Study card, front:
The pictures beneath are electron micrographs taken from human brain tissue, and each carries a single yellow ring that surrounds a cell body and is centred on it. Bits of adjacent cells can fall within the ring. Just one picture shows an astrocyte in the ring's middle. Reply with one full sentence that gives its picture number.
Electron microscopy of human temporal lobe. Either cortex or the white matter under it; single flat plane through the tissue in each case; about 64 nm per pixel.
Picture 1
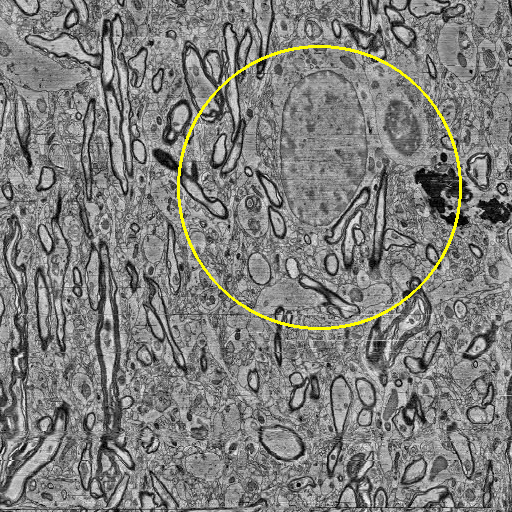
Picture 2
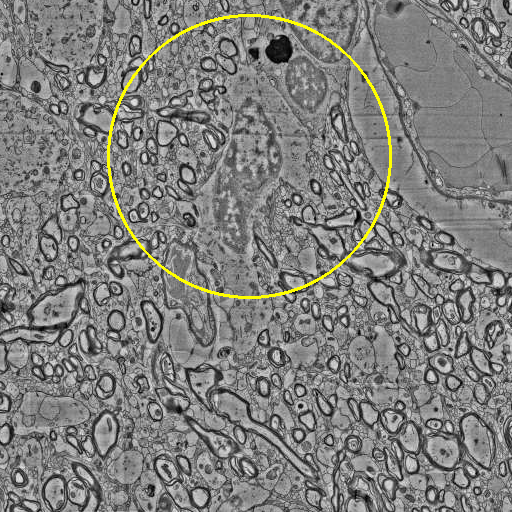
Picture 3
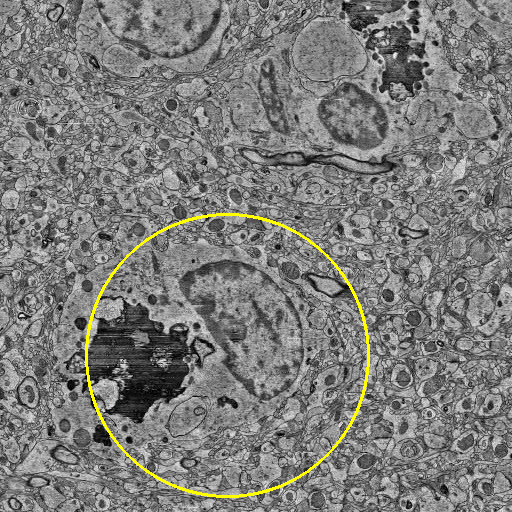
Picture 3 is the one whose ring has the requested cell at its centre.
